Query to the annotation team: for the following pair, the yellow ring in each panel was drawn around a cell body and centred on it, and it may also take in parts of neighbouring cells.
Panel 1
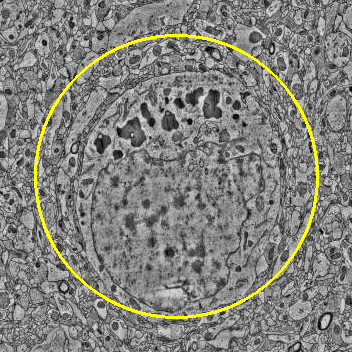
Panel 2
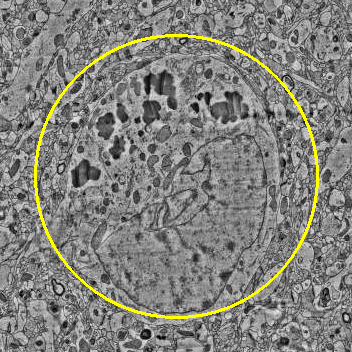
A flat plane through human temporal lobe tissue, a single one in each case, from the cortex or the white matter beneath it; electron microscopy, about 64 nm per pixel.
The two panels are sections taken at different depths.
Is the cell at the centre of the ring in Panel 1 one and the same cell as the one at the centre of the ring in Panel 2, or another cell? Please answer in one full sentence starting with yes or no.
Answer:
Yes, the two rings encircle a single cell, not a pair.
